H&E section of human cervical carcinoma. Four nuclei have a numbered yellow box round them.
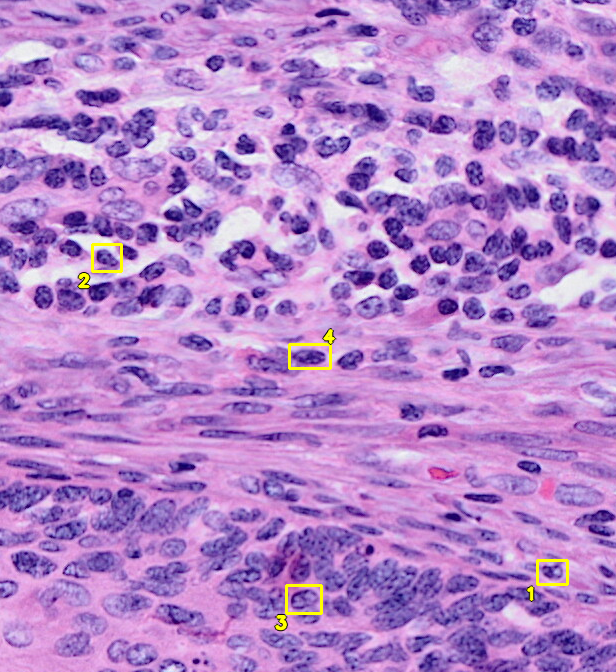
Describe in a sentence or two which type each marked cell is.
Cell 1 is a lymphocyte, cell 2 is a lymphocyte, cell 3 is a squamous carcinoma cell and cell 4 is a lymphocyte.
